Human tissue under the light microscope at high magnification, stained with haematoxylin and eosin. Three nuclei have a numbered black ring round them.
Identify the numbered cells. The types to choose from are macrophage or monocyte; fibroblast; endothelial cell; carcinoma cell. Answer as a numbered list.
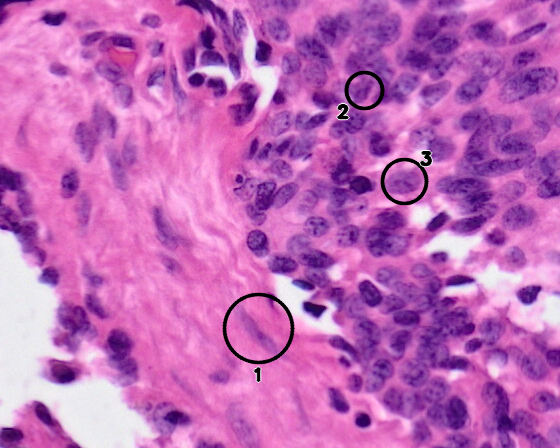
1. fibroblast
2. carcinoma cell
3. carcinoma cell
